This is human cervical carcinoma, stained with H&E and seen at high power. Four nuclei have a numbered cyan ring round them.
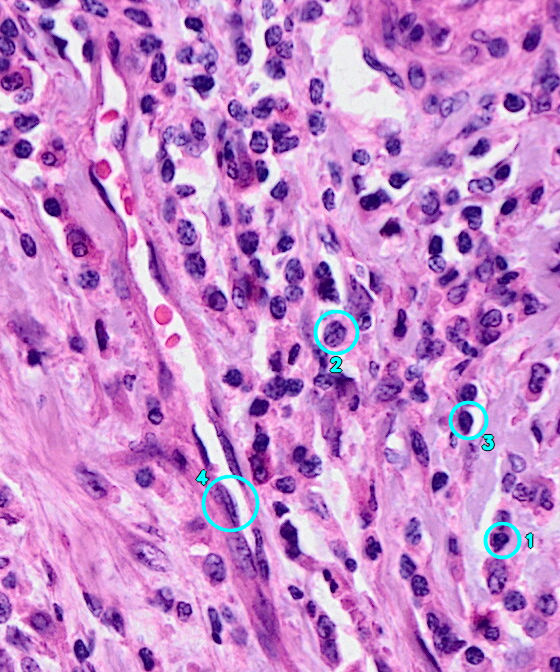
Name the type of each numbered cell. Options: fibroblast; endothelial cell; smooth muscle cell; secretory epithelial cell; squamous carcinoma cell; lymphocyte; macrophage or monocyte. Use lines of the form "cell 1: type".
cell 1: lymphocyte
cell 2: lymphocyte
cell 3: lymphocyte
cell 4: endothelial cell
